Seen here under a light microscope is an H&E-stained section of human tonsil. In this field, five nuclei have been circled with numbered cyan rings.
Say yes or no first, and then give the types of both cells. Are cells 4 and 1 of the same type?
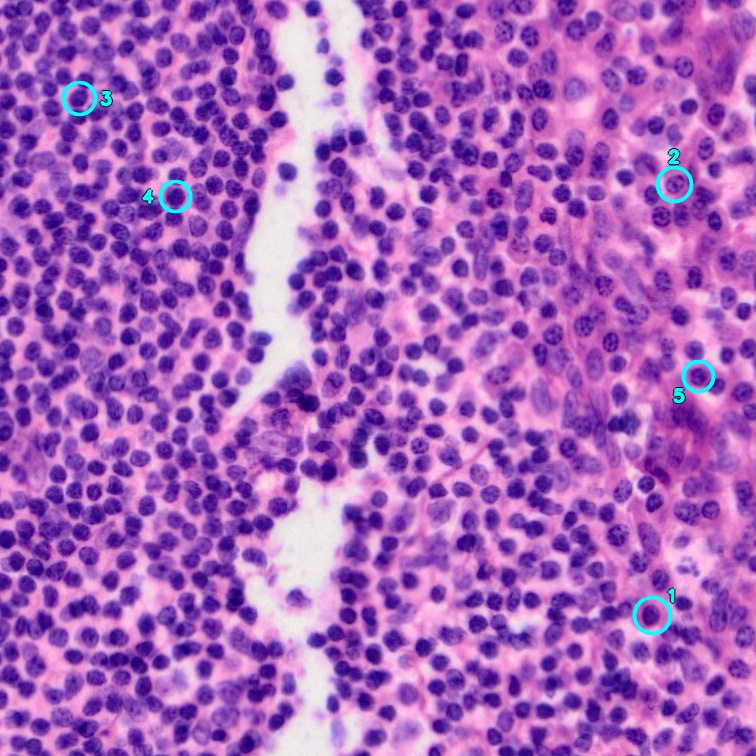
No, cell 4 is a small lymphocyte and cell 1 is a plasma cell.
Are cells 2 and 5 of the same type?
Yes, both are plasma cells.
